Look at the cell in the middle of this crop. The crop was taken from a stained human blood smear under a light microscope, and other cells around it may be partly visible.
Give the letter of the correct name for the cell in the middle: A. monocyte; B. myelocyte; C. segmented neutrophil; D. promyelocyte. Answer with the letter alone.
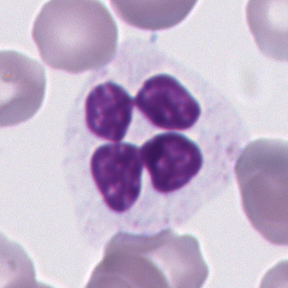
C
